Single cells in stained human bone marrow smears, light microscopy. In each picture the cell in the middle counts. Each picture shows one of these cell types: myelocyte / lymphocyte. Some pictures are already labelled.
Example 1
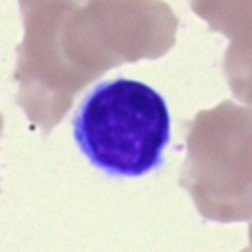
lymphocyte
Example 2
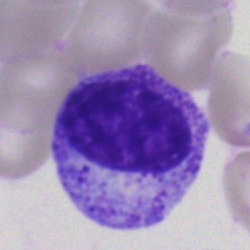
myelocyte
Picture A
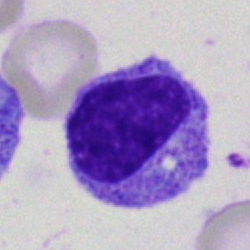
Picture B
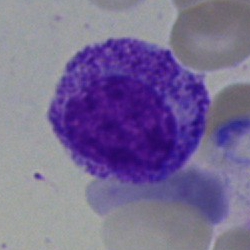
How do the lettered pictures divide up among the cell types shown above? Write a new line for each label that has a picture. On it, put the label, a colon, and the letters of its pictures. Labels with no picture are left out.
myelocyte: A, B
